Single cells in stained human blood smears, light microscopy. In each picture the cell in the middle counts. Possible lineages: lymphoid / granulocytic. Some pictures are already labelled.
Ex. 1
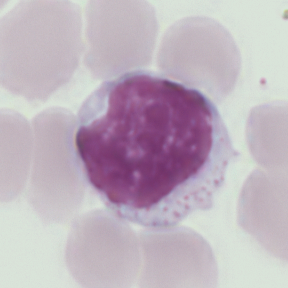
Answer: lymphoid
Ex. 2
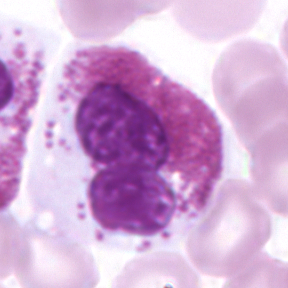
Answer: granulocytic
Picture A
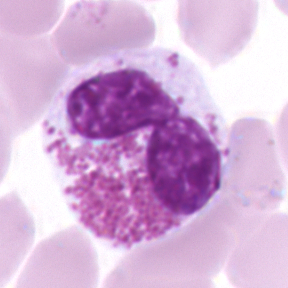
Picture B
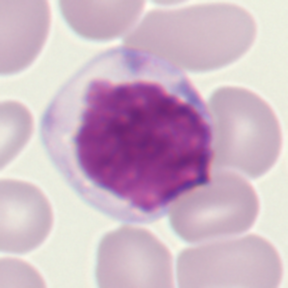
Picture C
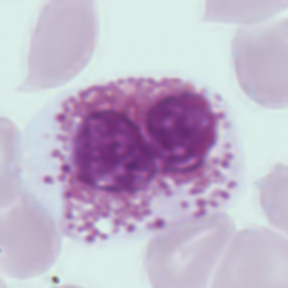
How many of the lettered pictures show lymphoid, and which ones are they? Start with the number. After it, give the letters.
1, namely B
